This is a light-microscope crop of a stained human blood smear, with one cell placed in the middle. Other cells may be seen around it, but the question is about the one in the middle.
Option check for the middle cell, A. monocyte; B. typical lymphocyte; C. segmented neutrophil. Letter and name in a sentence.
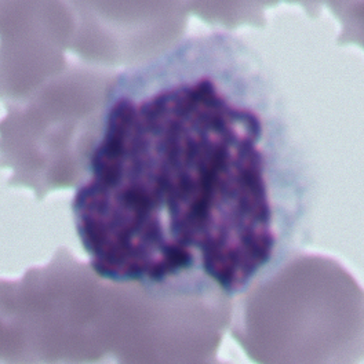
In the centre of the crop there is a monocyte, making option A correct.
